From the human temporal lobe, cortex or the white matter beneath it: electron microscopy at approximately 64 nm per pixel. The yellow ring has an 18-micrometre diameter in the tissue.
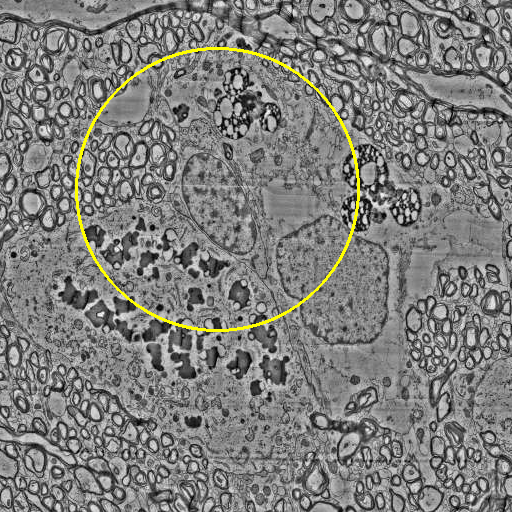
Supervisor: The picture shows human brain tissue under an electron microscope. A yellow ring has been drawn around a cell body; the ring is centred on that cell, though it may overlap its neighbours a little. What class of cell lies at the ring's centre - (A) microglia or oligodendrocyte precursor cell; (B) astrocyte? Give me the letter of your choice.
A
